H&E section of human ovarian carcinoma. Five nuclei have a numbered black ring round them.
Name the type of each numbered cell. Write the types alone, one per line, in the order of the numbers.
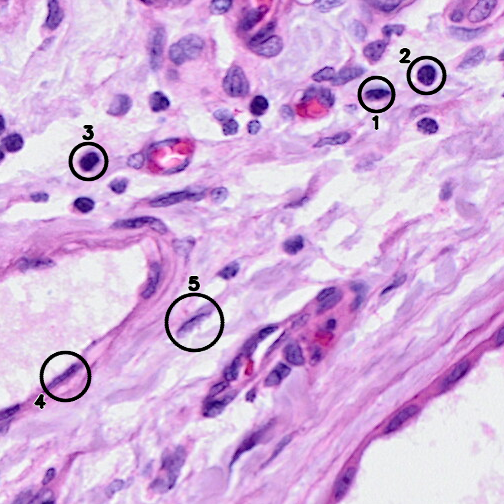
lymphocyte
lymphocyte
lymphocyte
endothelial cell
fibroblast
